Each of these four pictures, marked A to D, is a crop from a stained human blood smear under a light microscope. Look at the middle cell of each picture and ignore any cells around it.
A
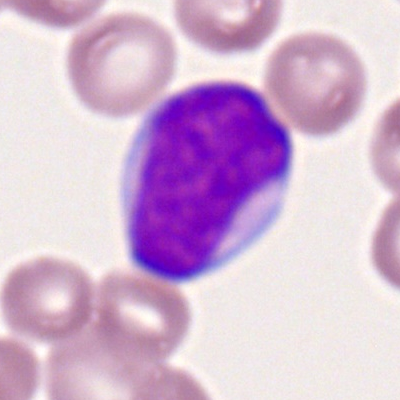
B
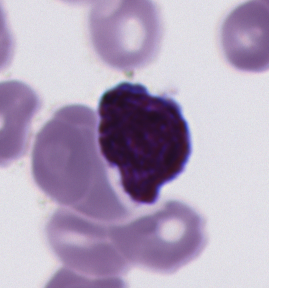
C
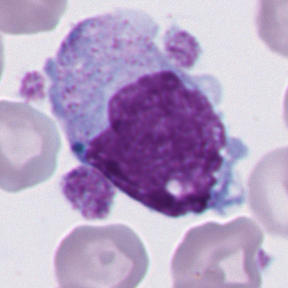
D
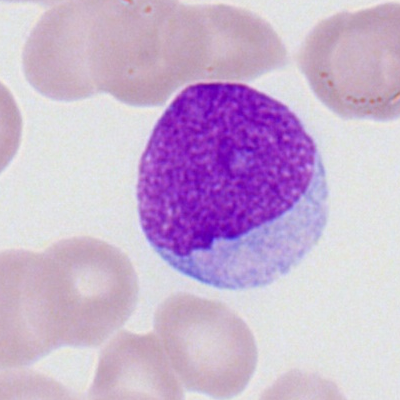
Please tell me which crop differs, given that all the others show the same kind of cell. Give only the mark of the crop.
C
